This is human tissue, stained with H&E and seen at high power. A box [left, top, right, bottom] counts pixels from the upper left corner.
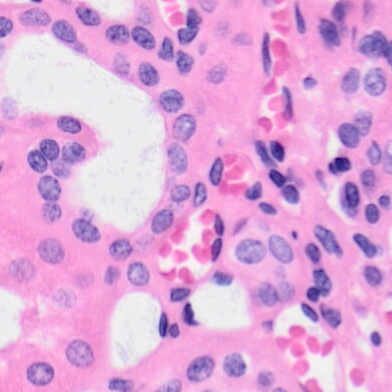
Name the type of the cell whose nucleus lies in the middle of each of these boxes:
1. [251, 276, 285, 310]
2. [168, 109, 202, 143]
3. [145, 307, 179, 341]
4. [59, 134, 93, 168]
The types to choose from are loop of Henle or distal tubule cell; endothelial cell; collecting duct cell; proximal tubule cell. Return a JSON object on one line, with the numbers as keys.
{"1": "collecting duct cell", "2": "collecting duct cell", "3": "endothelial cell", "4": "collecting duct cell"}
